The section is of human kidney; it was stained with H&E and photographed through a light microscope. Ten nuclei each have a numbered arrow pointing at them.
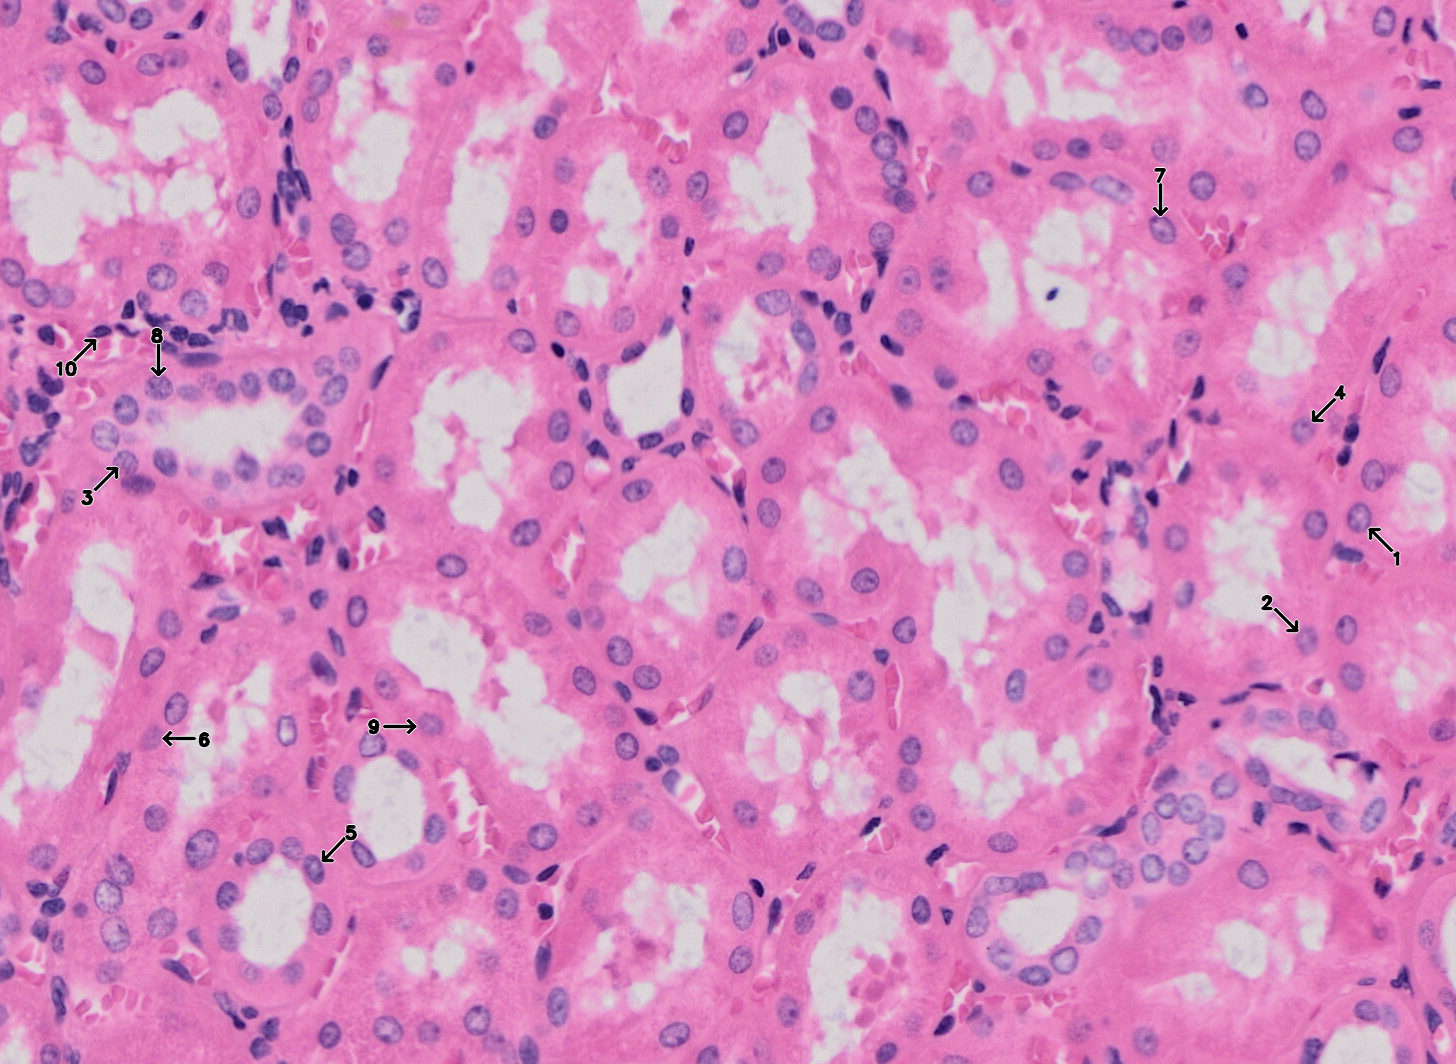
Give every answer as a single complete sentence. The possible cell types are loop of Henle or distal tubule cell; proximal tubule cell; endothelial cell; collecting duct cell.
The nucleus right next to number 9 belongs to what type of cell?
The cell nearest to number 9 is a loop of Henle or distal tubule cell.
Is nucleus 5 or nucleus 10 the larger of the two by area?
Number 5 is larger; its area is about 2.5 times that of number 10.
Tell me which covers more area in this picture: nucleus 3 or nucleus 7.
Number 7 is larger; its area is about 1.5 times that of number 3.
